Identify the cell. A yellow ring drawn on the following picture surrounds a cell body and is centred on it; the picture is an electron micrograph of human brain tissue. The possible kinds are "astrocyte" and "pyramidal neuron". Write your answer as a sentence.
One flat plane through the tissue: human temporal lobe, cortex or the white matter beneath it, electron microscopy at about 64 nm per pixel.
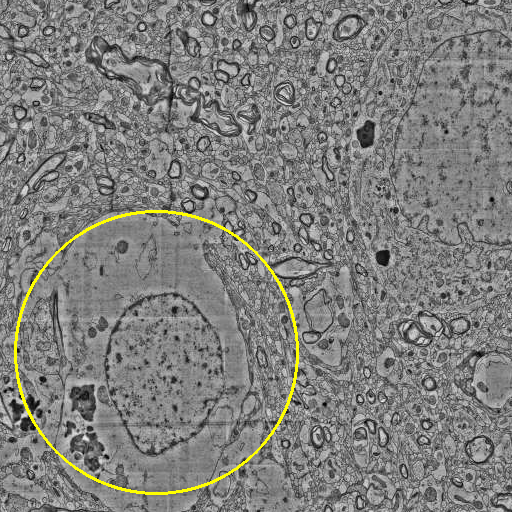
The cell identified by the ring is an astrocyte.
